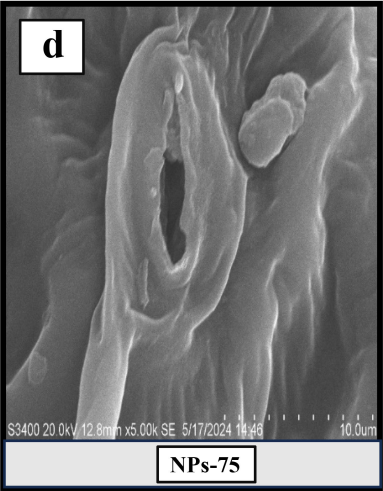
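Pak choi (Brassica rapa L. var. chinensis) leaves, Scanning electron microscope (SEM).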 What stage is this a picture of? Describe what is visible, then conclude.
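Full opening. Two elongated guard-cell lips surround a central pore. The pore is a clearly open dark elliptical gap.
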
